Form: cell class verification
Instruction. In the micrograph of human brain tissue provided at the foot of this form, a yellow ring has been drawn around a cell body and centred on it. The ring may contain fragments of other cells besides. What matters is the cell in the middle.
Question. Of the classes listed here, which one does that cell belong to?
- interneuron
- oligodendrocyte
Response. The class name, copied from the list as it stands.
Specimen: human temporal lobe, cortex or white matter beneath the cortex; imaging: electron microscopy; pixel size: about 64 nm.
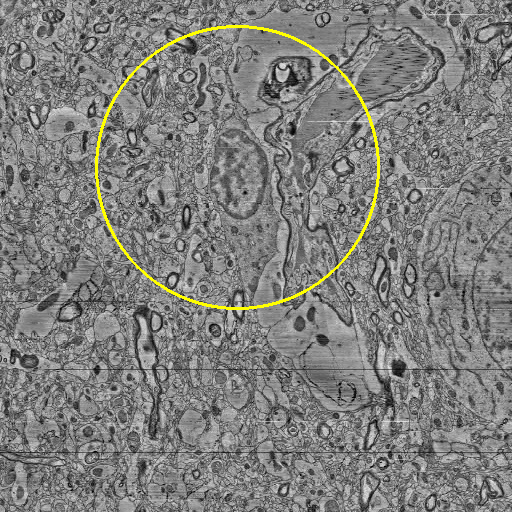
oligodendrocyte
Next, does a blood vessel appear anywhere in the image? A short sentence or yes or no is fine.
Yes, there is a blood vessel in the image.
